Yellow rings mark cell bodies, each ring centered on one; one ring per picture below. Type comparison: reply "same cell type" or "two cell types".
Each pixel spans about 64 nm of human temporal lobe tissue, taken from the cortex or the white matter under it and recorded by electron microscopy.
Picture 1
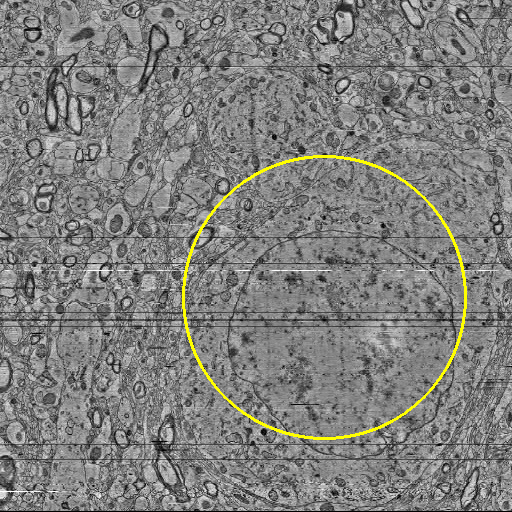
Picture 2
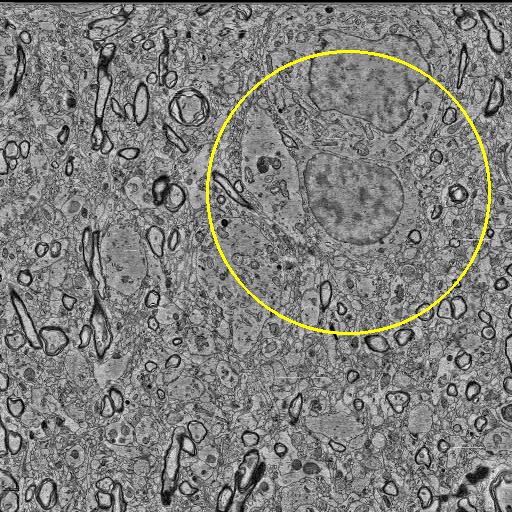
two cell types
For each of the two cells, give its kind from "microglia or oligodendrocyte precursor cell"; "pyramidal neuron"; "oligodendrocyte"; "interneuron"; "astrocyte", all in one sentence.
The first picture has a pyramidal neuron in its ring, the second has an oligodendrocyte.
